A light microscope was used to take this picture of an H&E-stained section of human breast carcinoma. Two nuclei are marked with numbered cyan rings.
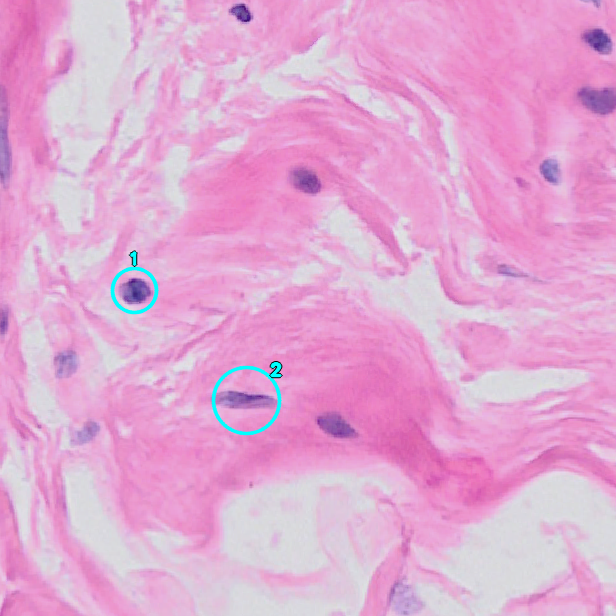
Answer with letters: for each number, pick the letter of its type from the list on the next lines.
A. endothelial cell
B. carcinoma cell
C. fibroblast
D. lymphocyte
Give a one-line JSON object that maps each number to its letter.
{"1": "D", "2": "C"}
